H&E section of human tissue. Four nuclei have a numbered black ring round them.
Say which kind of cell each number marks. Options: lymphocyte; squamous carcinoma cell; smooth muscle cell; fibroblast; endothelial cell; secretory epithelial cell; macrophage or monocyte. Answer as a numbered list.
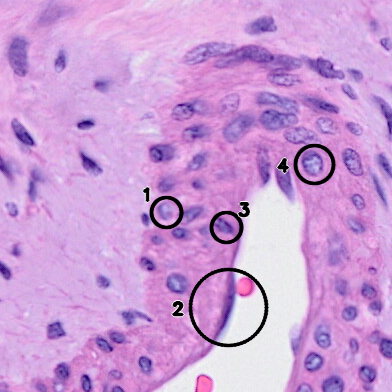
1. smooth muscle cell
2. endothelial cell
3. smooth muscle cell
4. smooth muscle cell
